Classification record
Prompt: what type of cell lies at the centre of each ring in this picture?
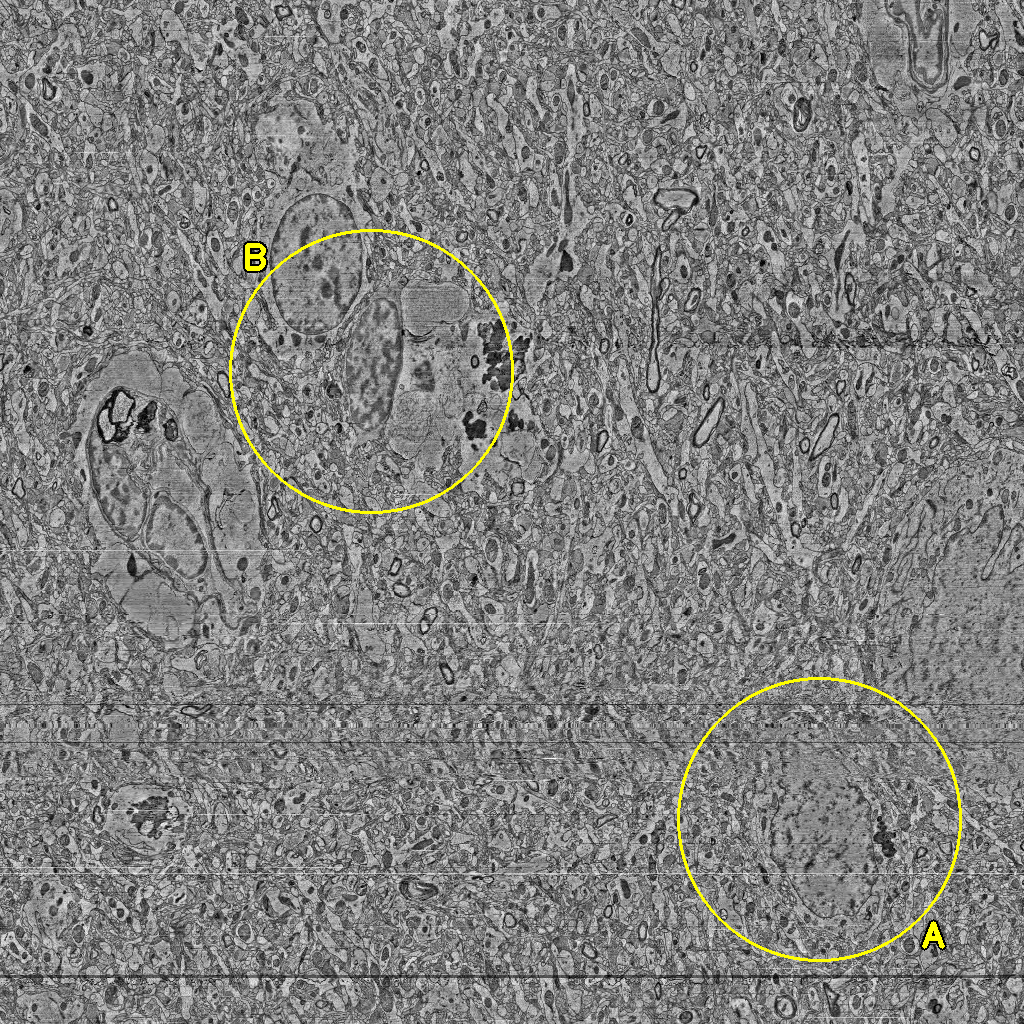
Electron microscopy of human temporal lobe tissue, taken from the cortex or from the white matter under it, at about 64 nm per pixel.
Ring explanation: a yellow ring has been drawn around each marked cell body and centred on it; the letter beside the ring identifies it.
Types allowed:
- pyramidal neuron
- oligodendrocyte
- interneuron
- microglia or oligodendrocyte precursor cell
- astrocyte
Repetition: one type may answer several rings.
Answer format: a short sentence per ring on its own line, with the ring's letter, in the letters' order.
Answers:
Ring A shows an interneuron at its centre.
Ring B shows an oligodendrocyte at its centre.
